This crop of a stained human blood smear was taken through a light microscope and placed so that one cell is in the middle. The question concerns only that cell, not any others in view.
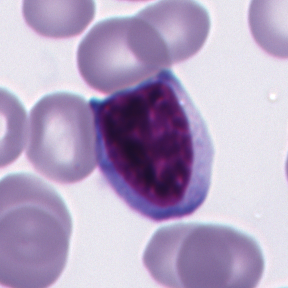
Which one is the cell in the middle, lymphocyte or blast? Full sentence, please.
The middle of this crop holds a lymphocyte.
